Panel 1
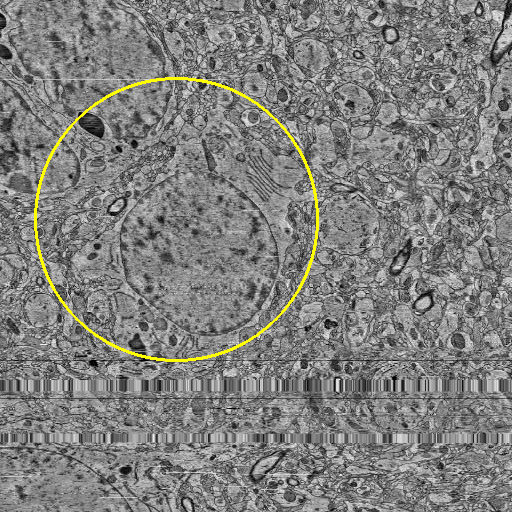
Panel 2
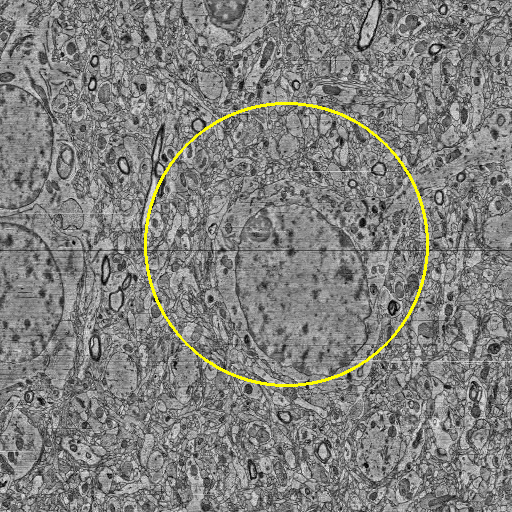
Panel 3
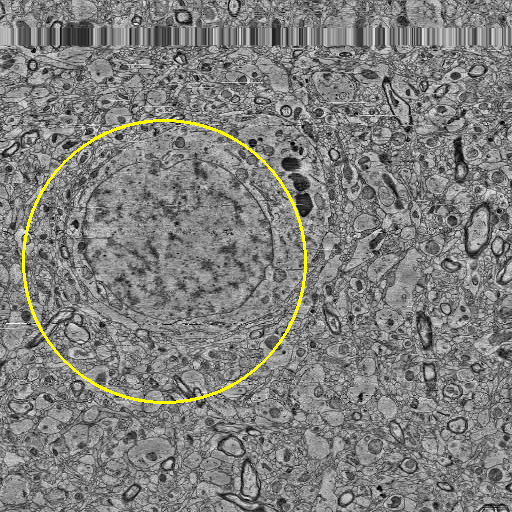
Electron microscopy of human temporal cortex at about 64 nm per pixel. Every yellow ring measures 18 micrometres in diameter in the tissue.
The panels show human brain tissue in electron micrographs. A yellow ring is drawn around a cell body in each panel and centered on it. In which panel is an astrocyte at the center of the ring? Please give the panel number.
1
